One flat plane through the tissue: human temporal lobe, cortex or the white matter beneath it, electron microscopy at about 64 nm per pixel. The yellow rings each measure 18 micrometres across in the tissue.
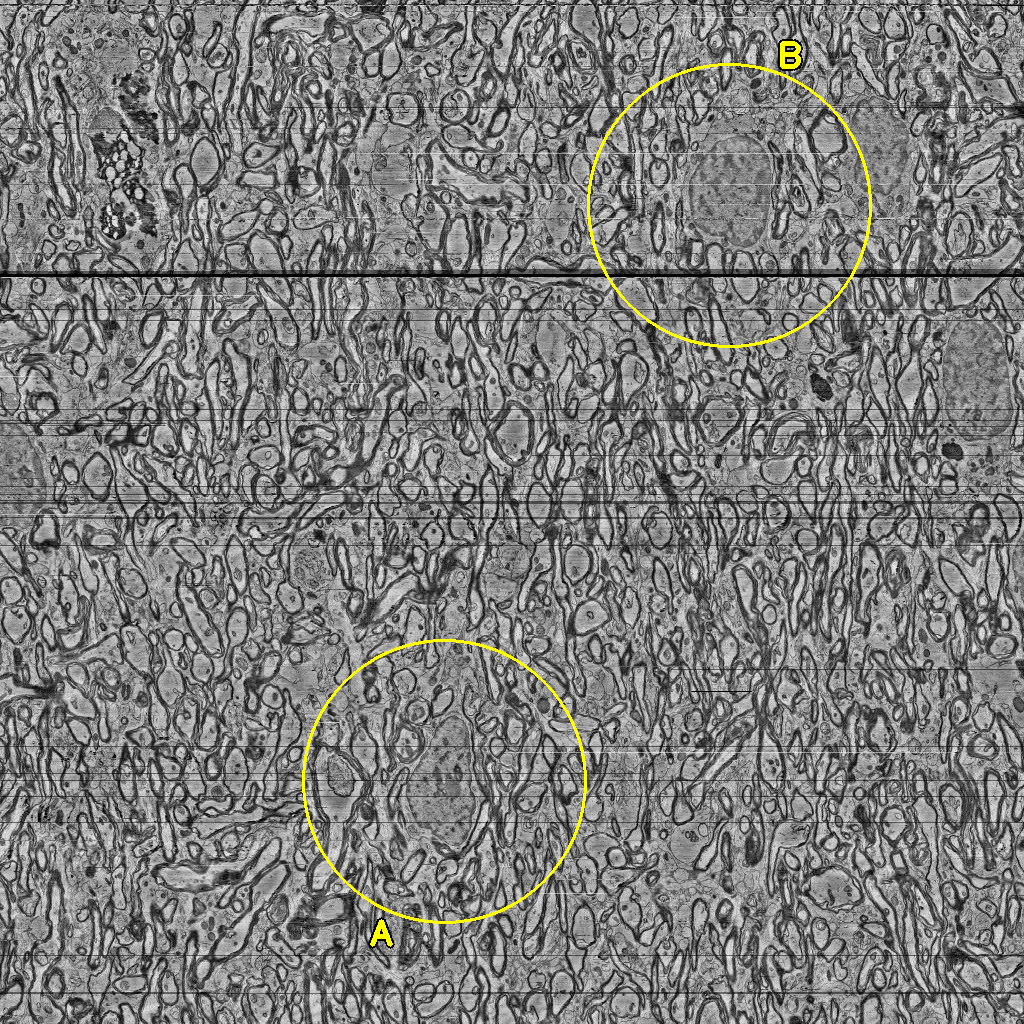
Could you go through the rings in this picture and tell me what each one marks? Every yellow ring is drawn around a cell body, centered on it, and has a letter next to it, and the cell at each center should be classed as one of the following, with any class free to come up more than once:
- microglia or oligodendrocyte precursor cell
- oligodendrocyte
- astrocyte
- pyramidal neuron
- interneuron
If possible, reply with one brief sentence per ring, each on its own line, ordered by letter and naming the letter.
The cell centered in ring A is a microglial cell or oligodendrocyte precursor cell.
The cell centered in ring B is an oligodendrocyte.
